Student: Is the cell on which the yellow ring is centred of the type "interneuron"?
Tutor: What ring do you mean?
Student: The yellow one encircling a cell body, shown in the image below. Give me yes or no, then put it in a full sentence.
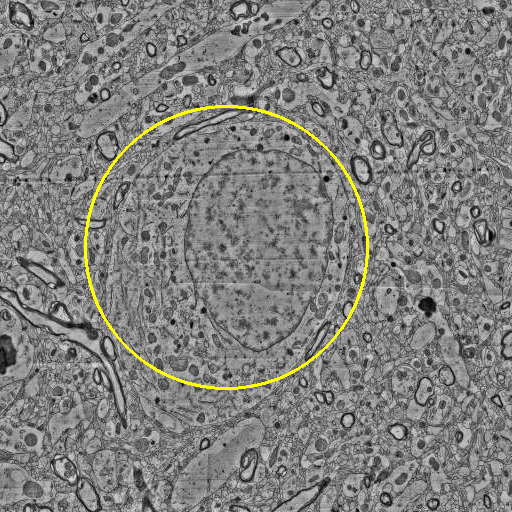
Yes, the cell on which the yellow ring in the image is centred has that type.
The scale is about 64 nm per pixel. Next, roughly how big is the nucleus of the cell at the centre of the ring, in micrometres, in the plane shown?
Approximately 13 micrometres long and 10 micrometres wide, in this plane.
